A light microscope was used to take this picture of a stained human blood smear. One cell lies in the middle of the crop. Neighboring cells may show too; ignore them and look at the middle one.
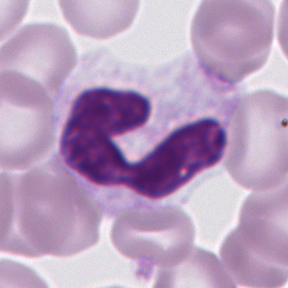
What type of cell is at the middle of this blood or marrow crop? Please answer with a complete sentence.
Answering briefly, the cell in the middle is a neutrophil.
